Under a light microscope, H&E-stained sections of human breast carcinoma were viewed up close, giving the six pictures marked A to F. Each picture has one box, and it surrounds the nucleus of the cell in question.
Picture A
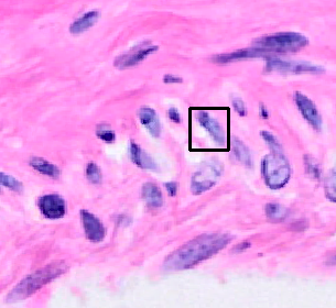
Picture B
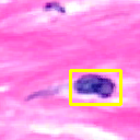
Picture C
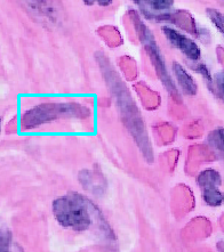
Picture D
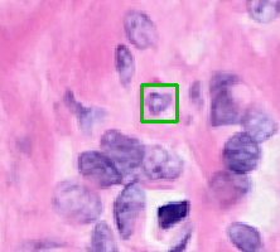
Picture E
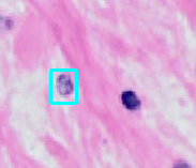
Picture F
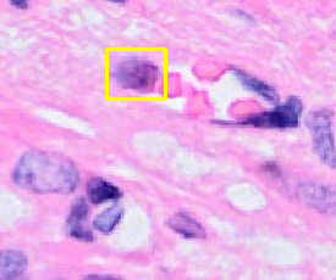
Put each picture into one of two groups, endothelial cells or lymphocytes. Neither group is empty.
A: endothelial cell
B: lymphocyte
C: endothelial cell
D: endothelial cell
E: lymphocyte
F: endothelial cell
